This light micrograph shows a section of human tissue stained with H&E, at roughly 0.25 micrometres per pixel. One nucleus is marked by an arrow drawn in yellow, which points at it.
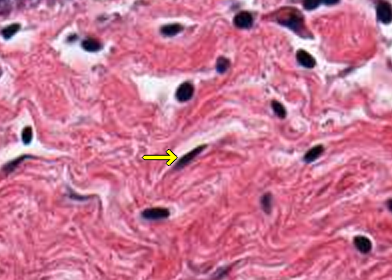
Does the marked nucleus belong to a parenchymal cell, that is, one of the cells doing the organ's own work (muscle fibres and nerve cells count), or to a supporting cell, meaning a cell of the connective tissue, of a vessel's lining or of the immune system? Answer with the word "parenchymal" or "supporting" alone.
supporting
